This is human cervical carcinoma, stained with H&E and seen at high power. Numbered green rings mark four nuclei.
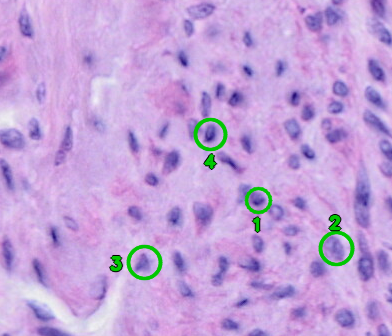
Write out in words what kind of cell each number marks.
Cell 1 is a smooth muscle cell, cell 2 is a smooth muscle cell, cell 3 is a fibroblast and cell 4 is a fibroblast.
